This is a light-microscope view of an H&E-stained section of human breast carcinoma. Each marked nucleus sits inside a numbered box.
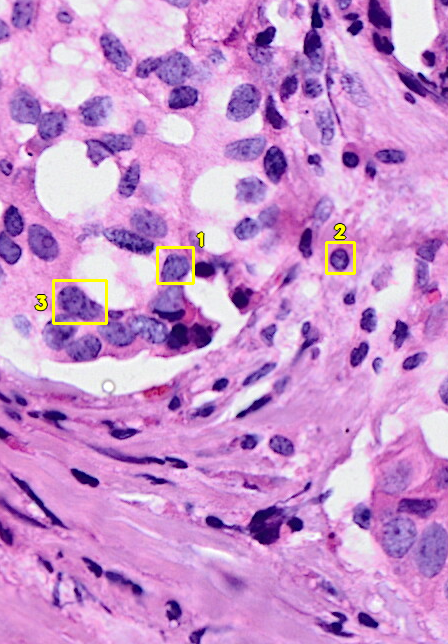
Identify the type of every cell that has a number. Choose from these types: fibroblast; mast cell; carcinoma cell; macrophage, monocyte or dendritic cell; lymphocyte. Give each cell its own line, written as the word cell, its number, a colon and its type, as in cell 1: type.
cell 1: carcinoma cell
cell 2: mast cell
cell 3: carcinoma cell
